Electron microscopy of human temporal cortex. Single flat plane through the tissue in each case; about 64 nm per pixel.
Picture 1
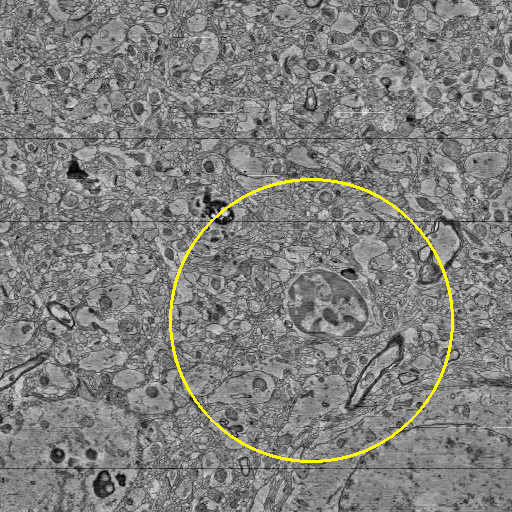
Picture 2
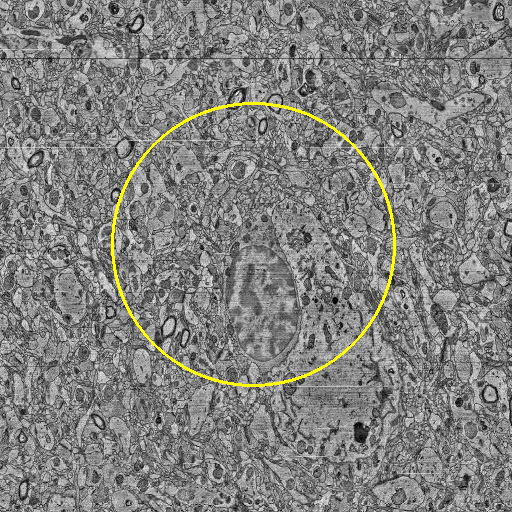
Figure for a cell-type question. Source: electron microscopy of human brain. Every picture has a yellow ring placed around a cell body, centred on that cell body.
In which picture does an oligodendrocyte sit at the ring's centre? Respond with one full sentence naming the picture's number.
The cell in the middle of the ring in picture 2 is the one sought.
